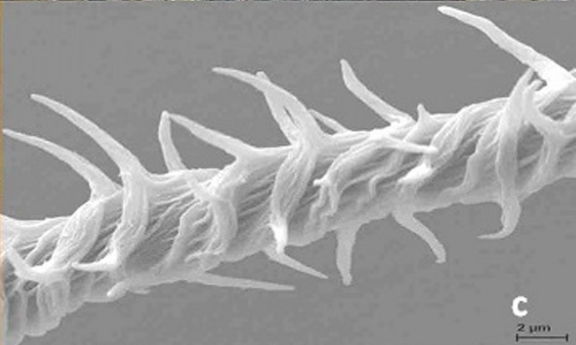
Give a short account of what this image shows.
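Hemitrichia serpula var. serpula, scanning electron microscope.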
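The thread is cylindrical, a few micrometres thick, and its surface is marked by fine longitudinal and spirally twisted ridges, giving it a rope-like appearance. Numerous long, slender spines arise from the thread at irregular intervals; they are broad at the base, taper to sharp points, and many curve slightly. The background is featureless grey.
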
